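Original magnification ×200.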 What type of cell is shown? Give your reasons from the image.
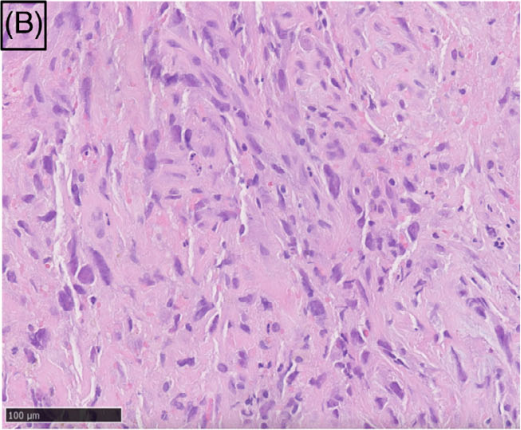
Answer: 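Many cells have elongated spindle forms, others are rounder. Nuclei are enlarged, dark and vary considerably in size and shape. The cytoplasm is pink.
Hence: spindle and round‐shaped atypical cells with eosinophilic cytoplasm.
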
